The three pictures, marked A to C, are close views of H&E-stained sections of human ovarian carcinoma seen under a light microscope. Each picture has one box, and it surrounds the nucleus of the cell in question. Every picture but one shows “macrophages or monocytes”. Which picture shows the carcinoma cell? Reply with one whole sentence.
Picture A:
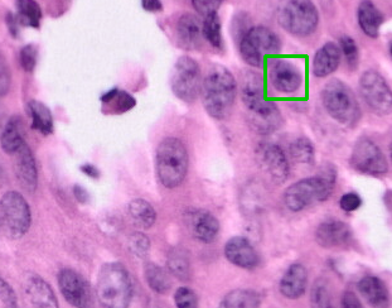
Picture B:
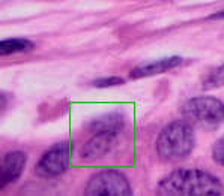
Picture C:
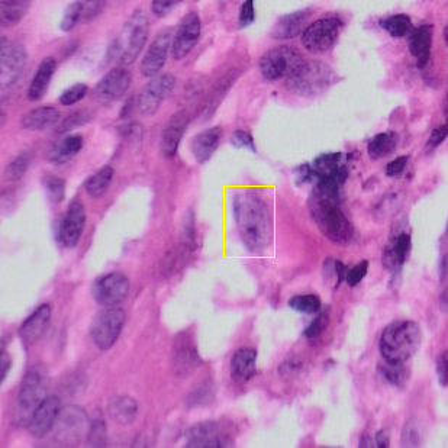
Picture B shows the carcinoma cell.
